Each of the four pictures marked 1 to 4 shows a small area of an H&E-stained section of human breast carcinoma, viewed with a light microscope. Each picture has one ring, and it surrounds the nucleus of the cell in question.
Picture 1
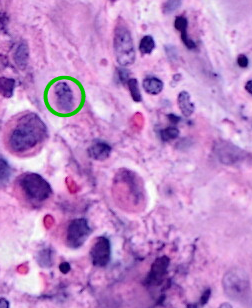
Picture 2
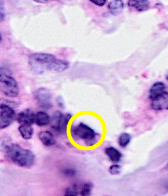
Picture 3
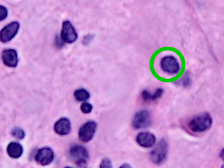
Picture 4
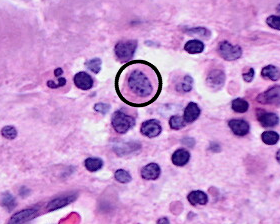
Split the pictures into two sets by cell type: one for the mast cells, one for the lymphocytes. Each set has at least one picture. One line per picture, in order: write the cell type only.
mast cell
lymphocyte
lymphocyte
mast cell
